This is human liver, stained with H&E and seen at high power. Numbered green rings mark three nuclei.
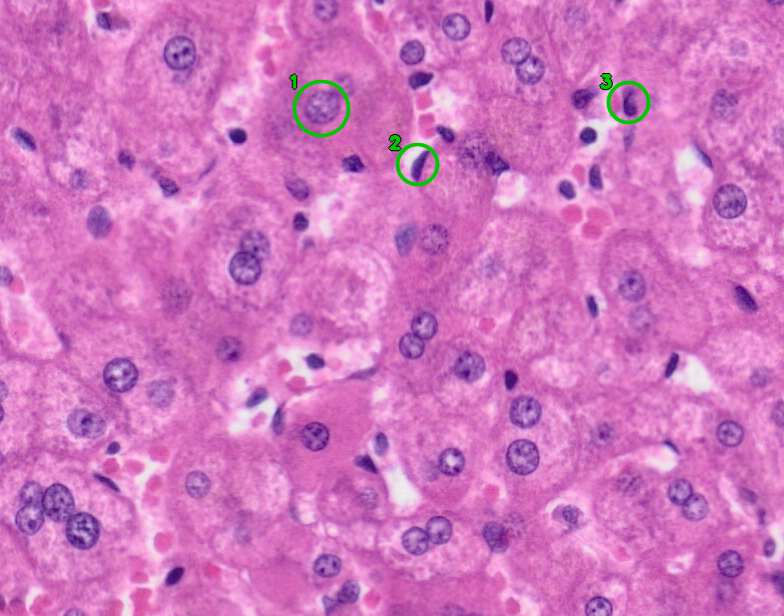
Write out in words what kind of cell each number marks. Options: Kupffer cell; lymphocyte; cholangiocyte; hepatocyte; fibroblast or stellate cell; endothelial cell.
Cell 1 is a hepatocyte, cell 2 is an endothelial cell and cell 3 is a fibroblast or stellate cell.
